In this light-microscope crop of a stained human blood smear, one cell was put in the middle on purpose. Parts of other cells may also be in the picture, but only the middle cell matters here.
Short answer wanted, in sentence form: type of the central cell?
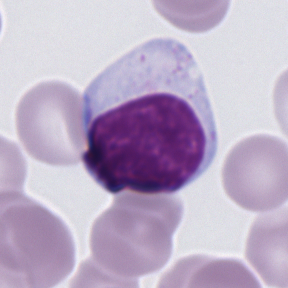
The middle of this crop holds a large granular lymphocyte.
